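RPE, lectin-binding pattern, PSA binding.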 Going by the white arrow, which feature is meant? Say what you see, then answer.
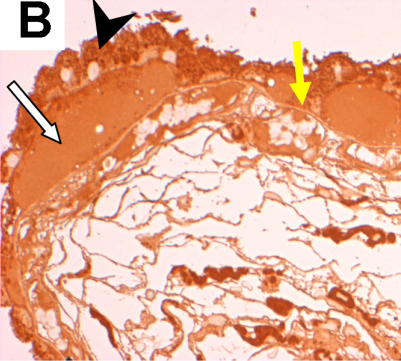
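Drusen. The arrow points to a smooth, homogeneous, acellular brown mound. The mound lies beneath a layer of dark granular cells and above a thin membrane.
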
